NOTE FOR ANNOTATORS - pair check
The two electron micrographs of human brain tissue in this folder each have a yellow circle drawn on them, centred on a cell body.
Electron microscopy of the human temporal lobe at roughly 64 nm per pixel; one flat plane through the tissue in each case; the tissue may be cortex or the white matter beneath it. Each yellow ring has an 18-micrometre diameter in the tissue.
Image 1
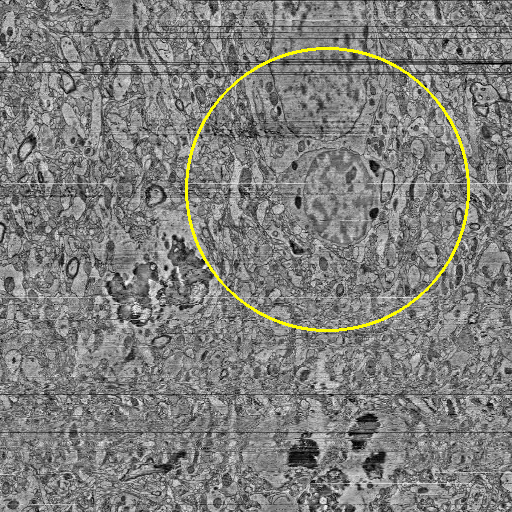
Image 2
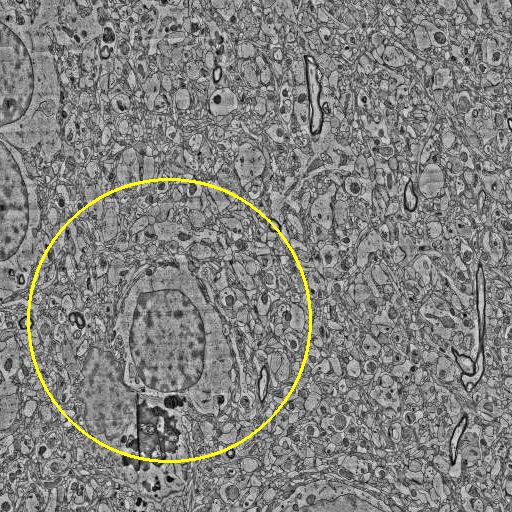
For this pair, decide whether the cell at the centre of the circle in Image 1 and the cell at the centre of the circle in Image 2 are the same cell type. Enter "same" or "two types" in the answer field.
two types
